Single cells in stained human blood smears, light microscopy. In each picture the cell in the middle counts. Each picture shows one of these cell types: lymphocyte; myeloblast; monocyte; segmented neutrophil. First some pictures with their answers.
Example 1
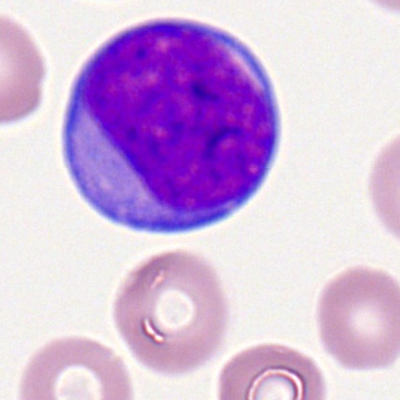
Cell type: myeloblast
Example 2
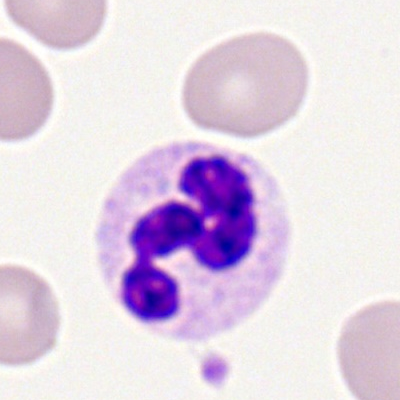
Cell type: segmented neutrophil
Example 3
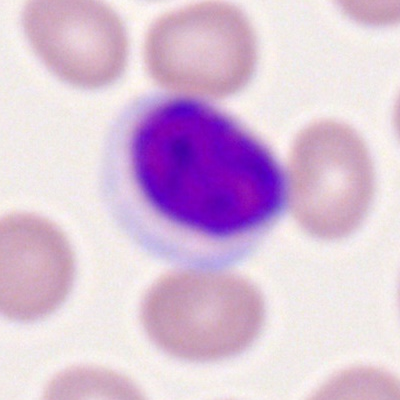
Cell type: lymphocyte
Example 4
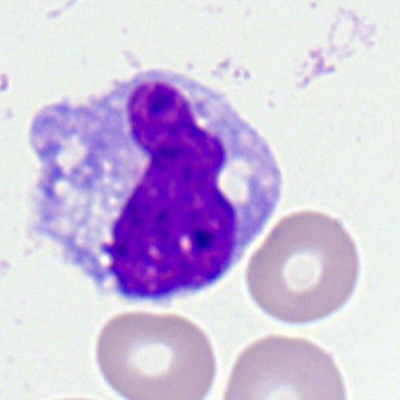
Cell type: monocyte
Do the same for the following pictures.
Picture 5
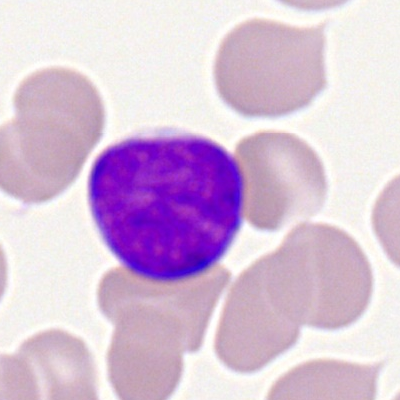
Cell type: myeloblast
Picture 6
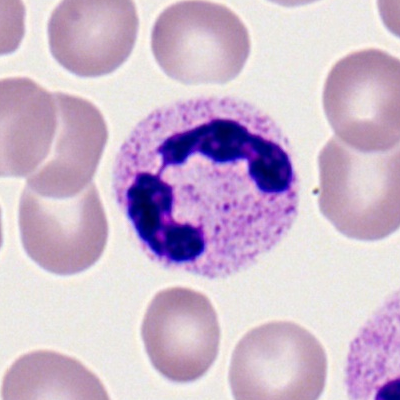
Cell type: segmented neutrophil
